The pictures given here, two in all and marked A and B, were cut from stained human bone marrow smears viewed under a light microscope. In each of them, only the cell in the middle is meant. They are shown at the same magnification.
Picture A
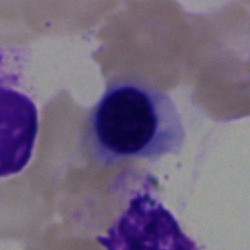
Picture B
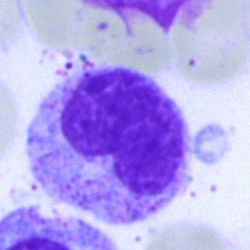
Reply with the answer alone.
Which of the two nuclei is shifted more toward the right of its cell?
B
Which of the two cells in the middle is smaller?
A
